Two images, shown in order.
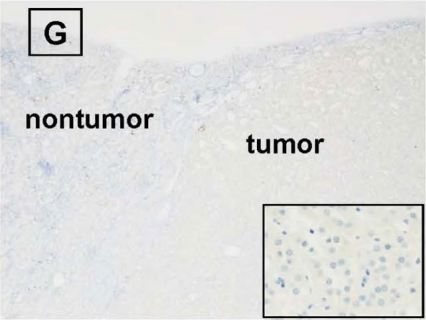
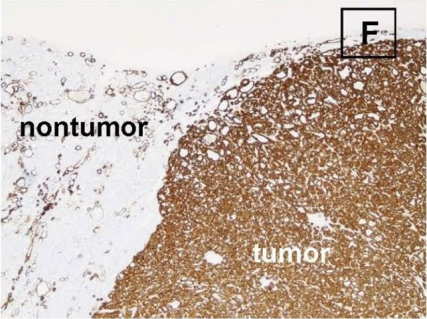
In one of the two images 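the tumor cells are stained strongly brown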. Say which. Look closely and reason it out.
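First image: the tumor area is pale with only blue counterstain. Second image: the tumor area is solidly dark brown.
Hence: the second image.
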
